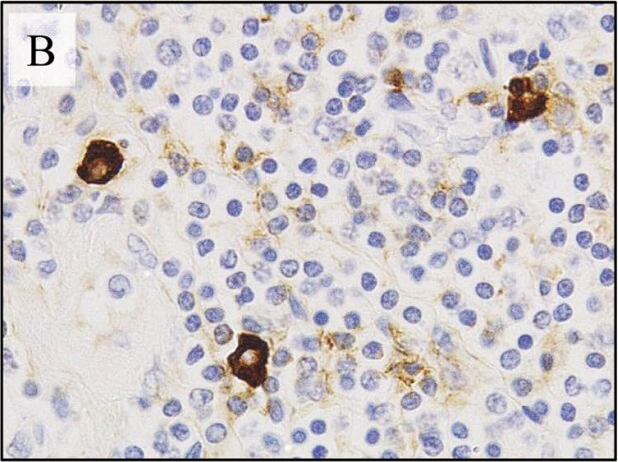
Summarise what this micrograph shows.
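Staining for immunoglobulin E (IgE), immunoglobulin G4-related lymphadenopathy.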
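Lymphoid tissue with scattered mast cells standing out by dense dark brown cytoplasm. The brown stain fills the whole cytoplasm. Between them lie many small round blue nuclei of lymphoid cells. Fine pale brown granular deposits are spread in the interstitium between the cells.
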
